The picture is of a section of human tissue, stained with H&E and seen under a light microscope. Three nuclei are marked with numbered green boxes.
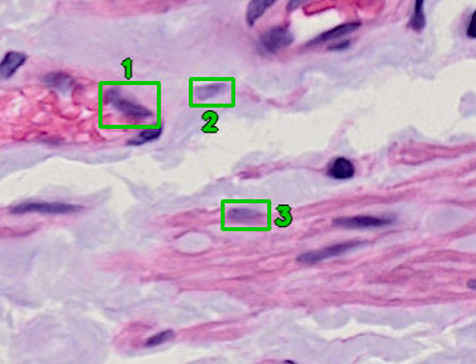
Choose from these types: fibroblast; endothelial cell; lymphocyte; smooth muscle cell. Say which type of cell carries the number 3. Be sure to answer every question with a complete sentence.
The one labeled 3 is a smooth muscle cell, to put it simply.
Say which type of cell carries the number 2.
The cell identified by number 2 is a fibroblast.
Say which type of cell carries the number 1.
Cell 1 is classified as an endothelial cell.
